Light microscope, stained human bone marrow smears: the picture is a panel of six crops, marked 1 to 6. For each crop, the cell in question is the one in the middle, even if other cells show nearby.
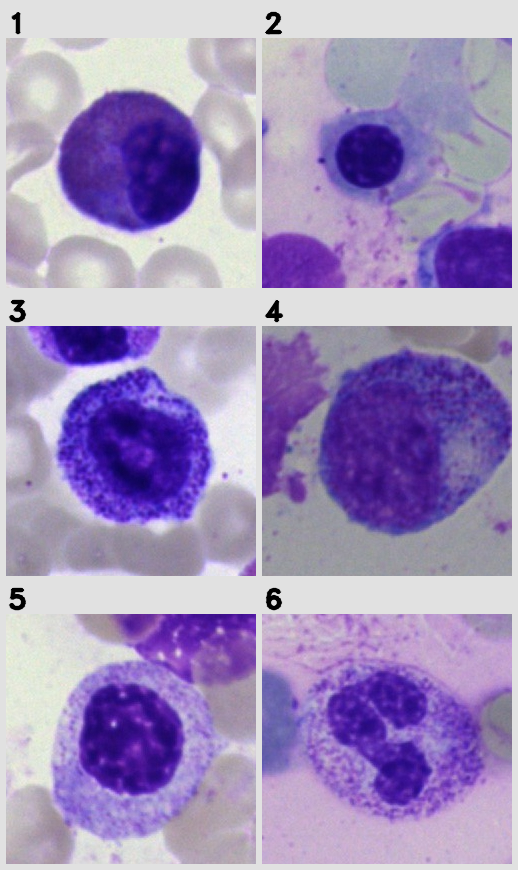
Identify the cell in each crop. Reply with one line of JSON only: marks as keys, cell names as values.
{"1": "eosinophil", "2": "erythroblast", "3": "promyelocyte", "4": "promyelocyte", "5": "myelocyte", "6": "segmented neutrophil"}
